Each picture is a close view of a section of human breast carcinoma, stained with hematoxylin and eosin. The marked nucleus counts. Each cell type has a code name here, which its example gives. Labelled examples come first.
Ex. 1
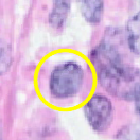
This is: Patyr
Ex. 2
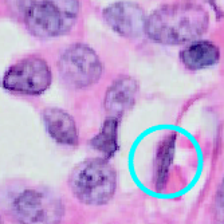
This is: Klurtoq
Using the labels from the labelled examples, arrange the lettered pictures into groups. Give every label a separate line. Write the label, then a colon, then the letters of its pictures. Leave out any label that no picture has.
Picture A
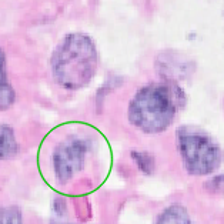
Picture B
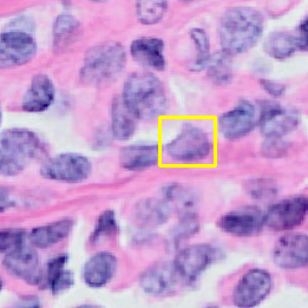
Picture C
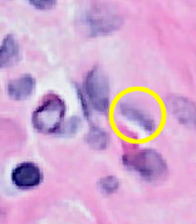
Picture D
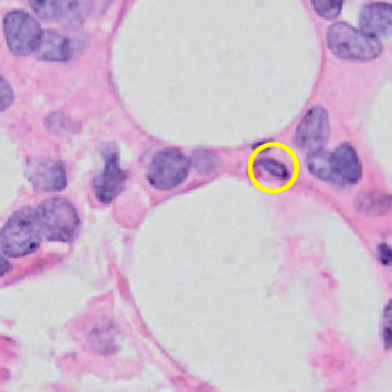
Patyr: B
Klurtoq: A, C, D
